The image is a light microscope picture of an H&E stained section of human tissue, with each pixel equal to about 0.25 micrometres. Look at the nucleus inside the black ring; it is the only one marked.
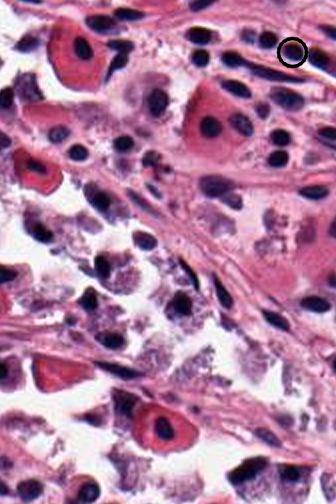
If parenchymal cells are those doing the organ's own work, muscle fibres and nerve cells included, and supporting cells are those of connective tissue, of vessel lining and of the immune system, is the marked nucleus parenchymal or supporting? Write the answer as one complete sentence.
A supporting cell contains the marked nucleus.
